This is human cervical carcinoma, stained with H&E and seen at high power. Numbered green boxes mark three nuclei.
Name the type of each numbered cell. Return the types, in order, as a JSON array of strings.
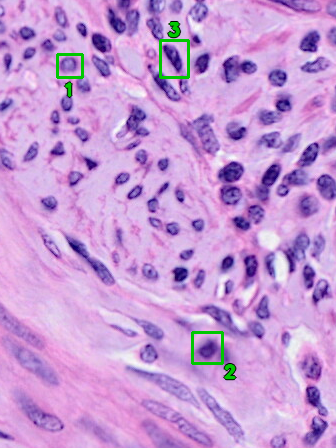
["smooth muscle cell", "lymphocyte", "lymphocyte"]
